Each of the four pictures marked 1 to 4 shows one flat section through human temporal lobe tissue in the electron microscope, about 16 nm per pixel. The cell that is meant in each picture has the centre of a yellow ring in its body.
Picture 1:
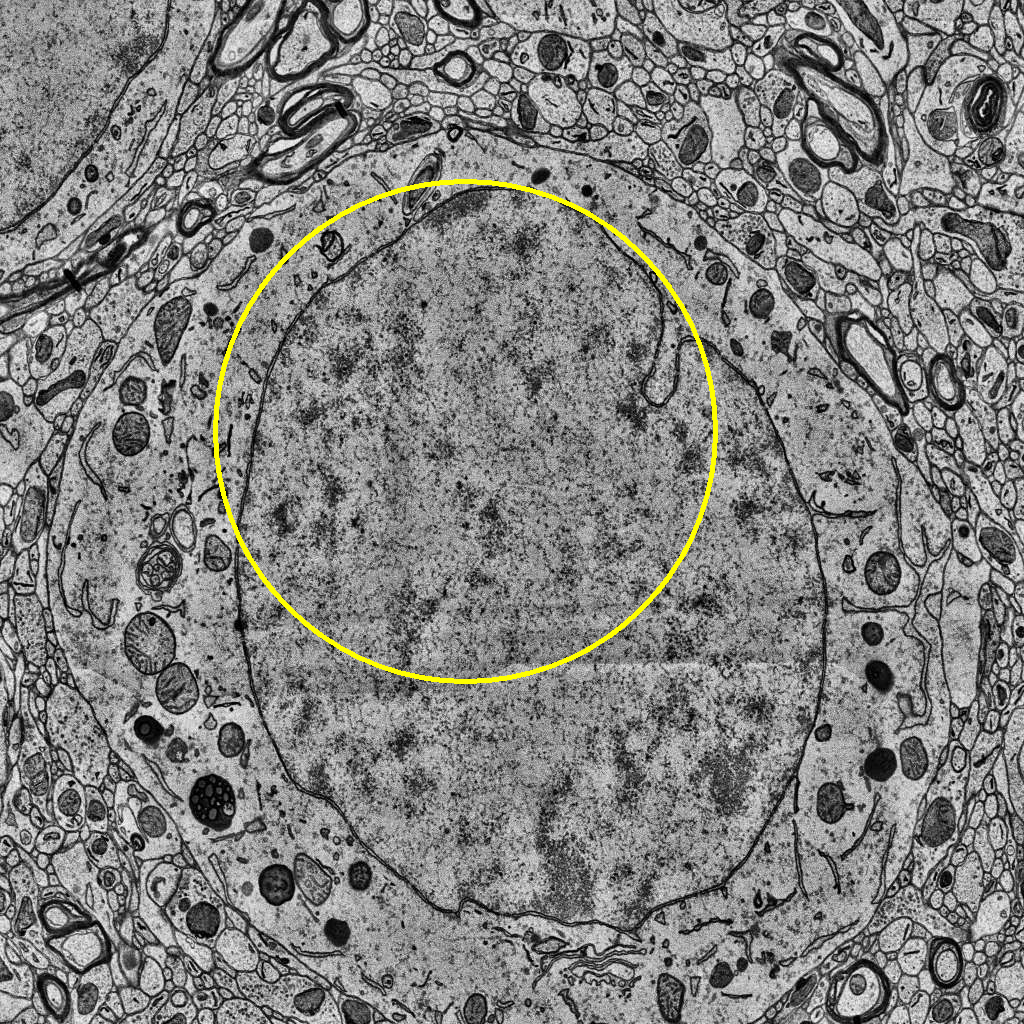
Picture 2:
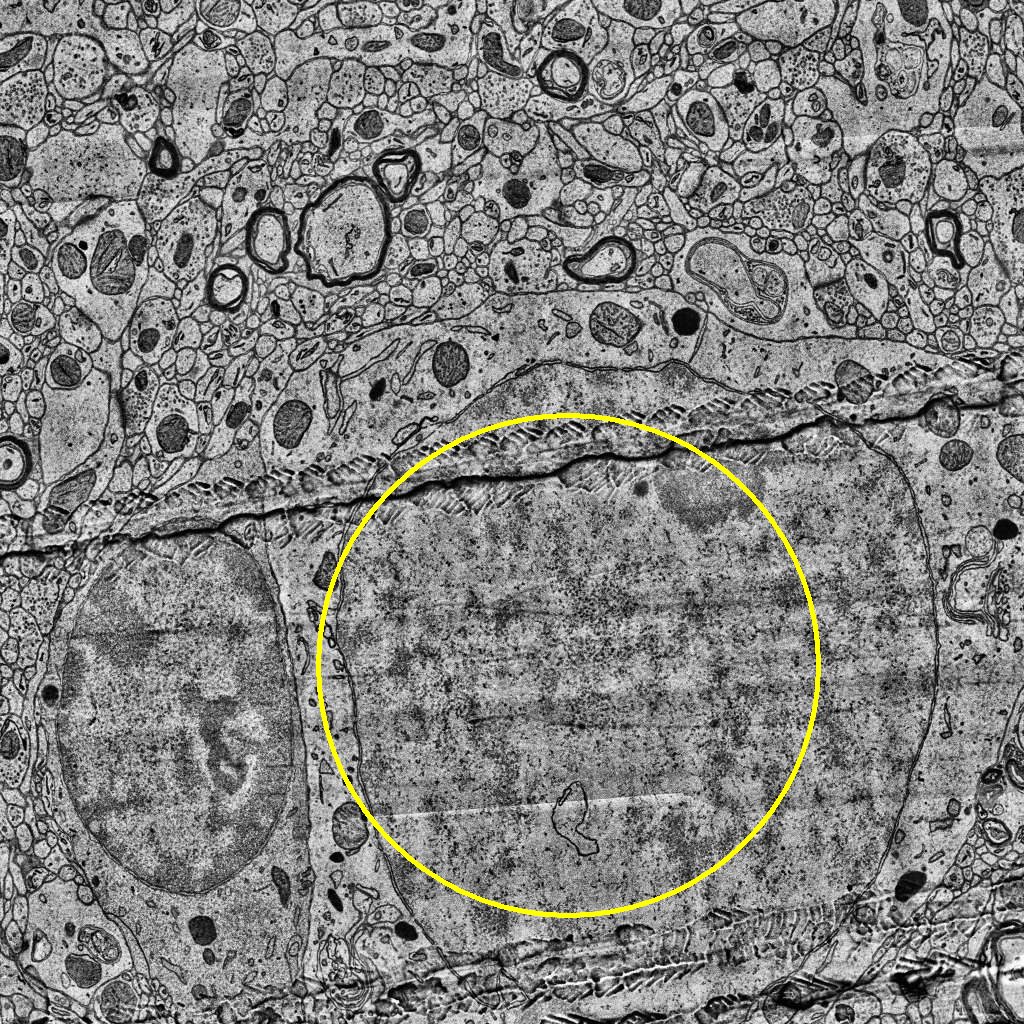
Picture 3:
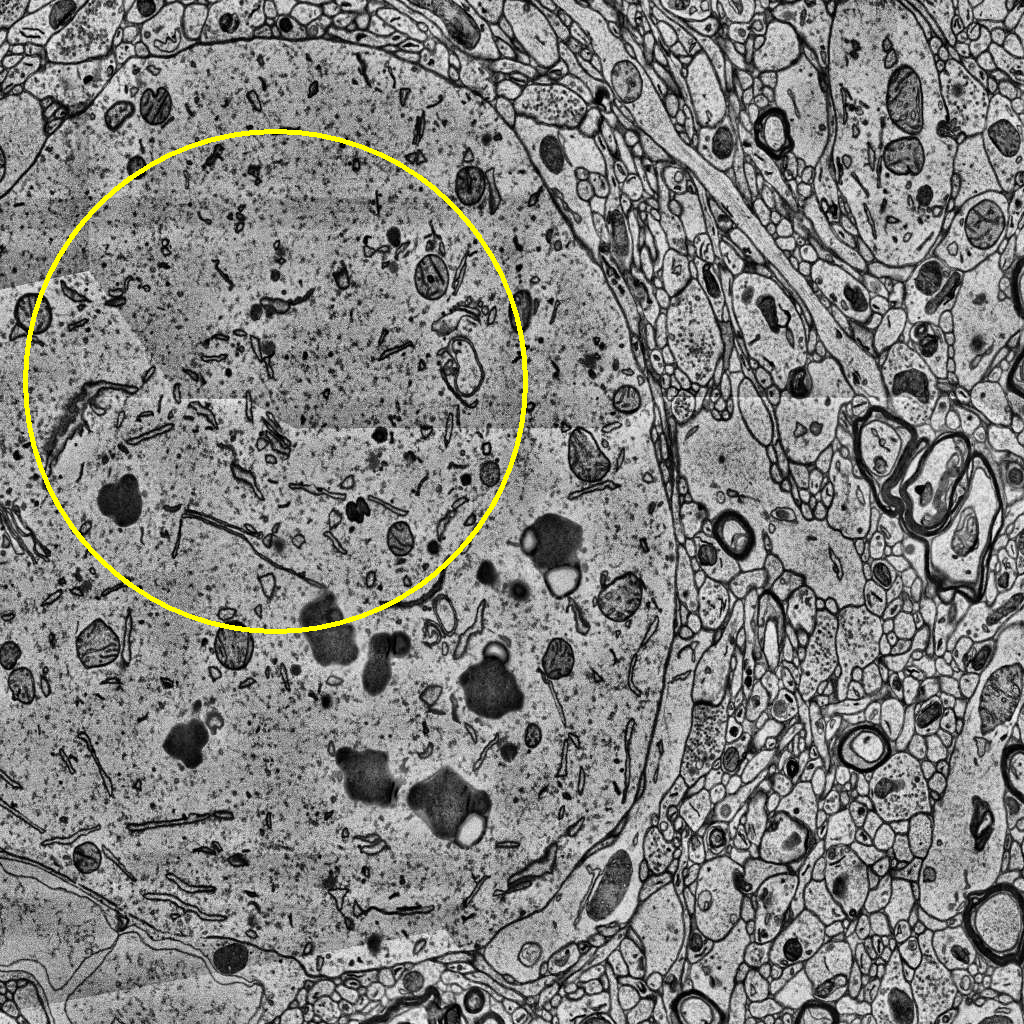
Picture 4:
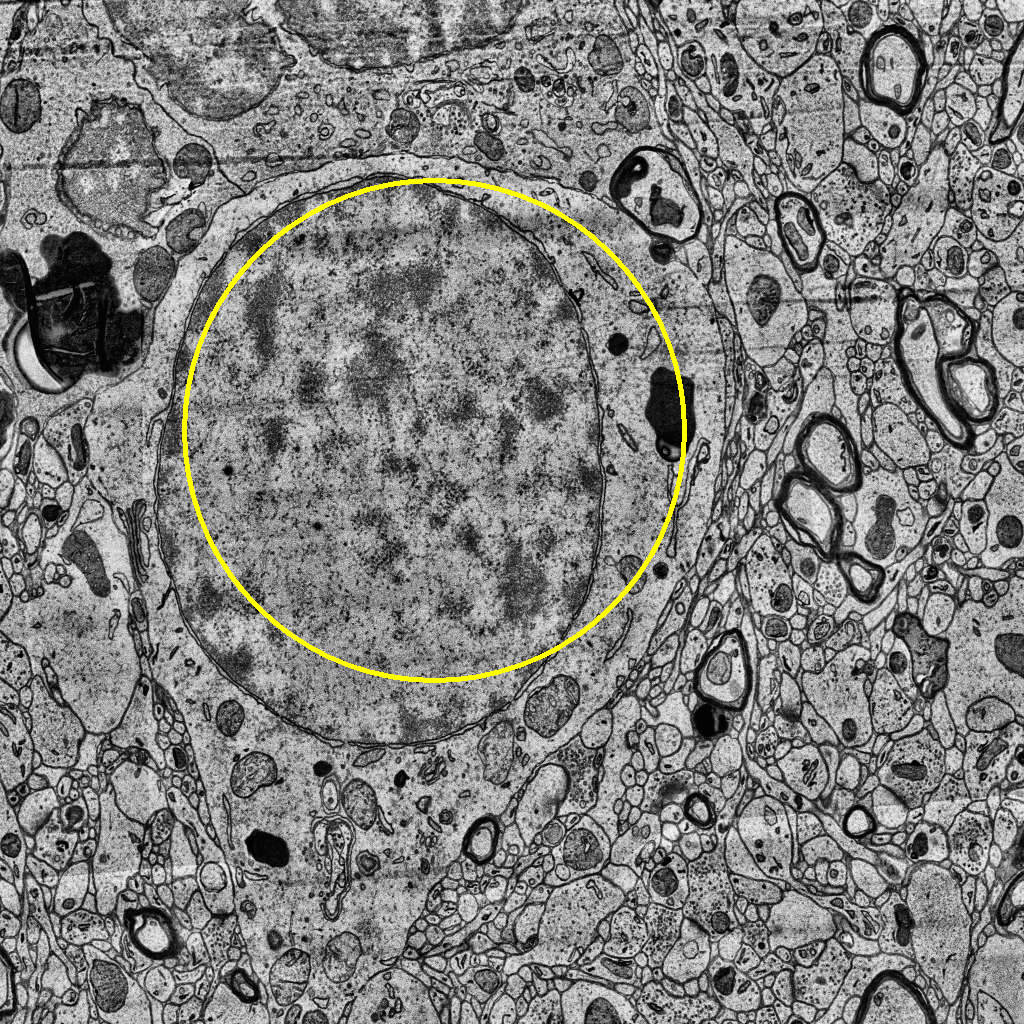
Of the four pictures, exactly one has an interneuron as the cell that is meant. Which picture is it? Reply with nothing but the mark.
4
